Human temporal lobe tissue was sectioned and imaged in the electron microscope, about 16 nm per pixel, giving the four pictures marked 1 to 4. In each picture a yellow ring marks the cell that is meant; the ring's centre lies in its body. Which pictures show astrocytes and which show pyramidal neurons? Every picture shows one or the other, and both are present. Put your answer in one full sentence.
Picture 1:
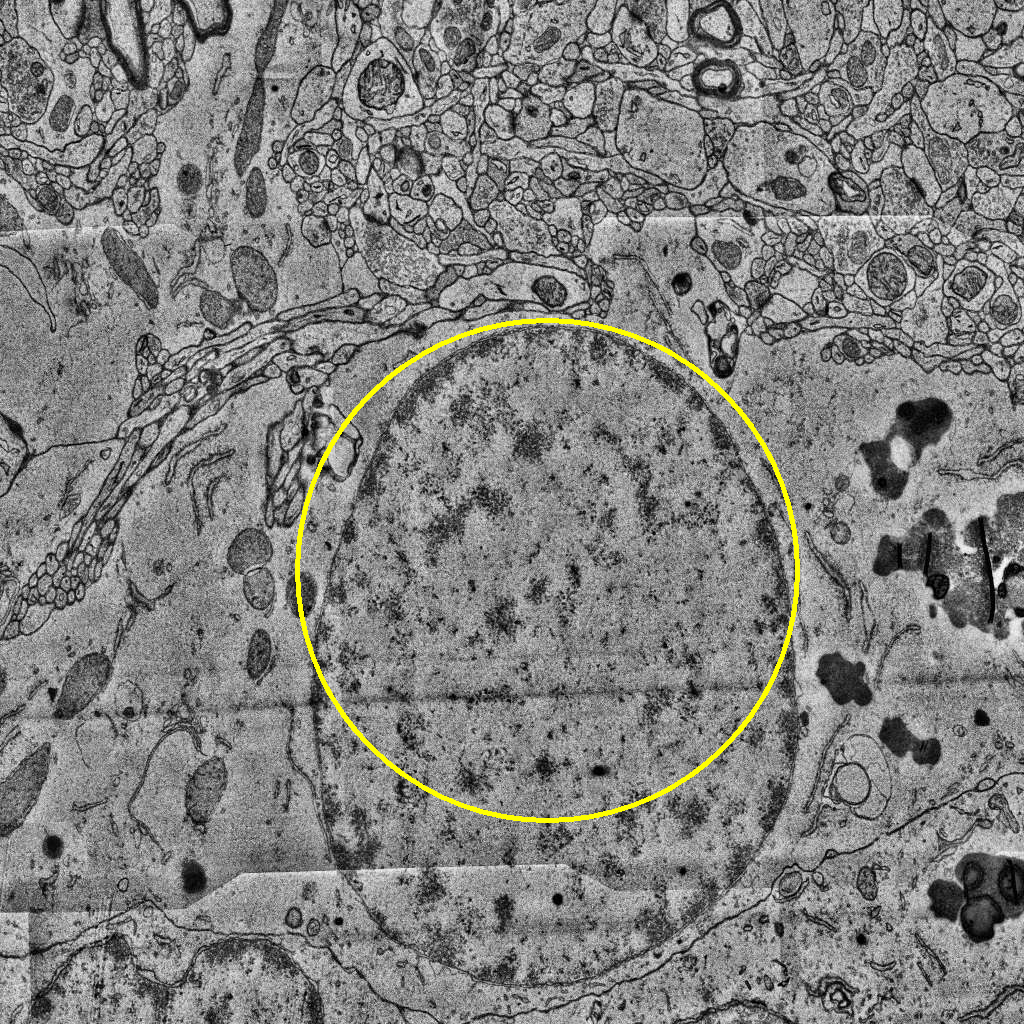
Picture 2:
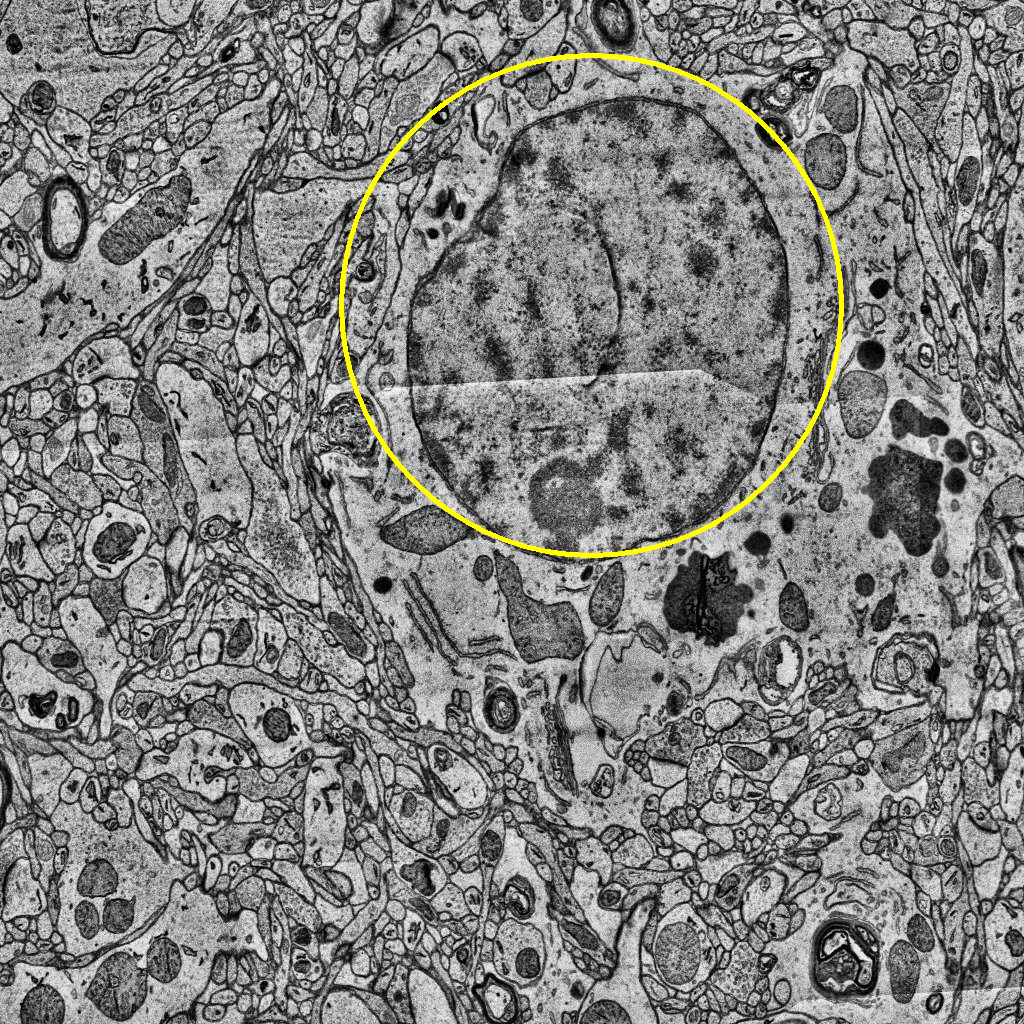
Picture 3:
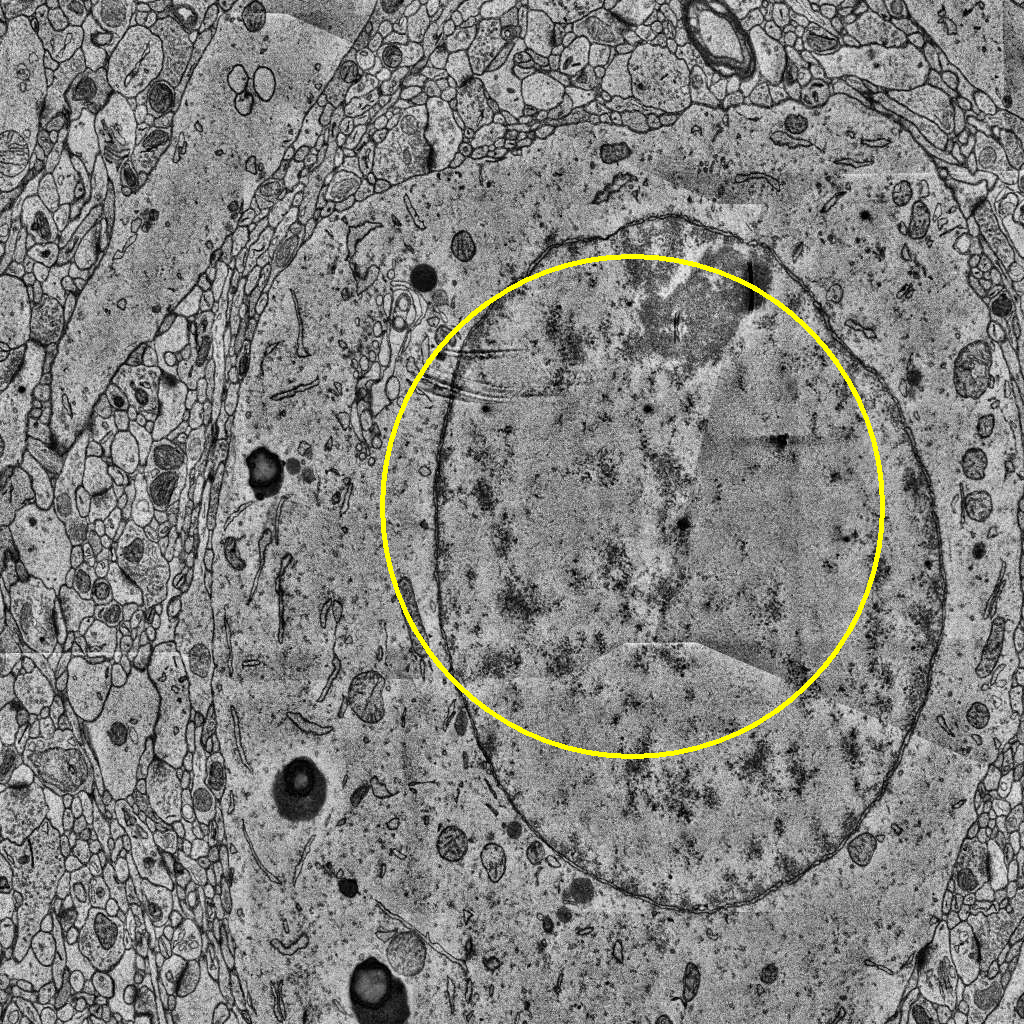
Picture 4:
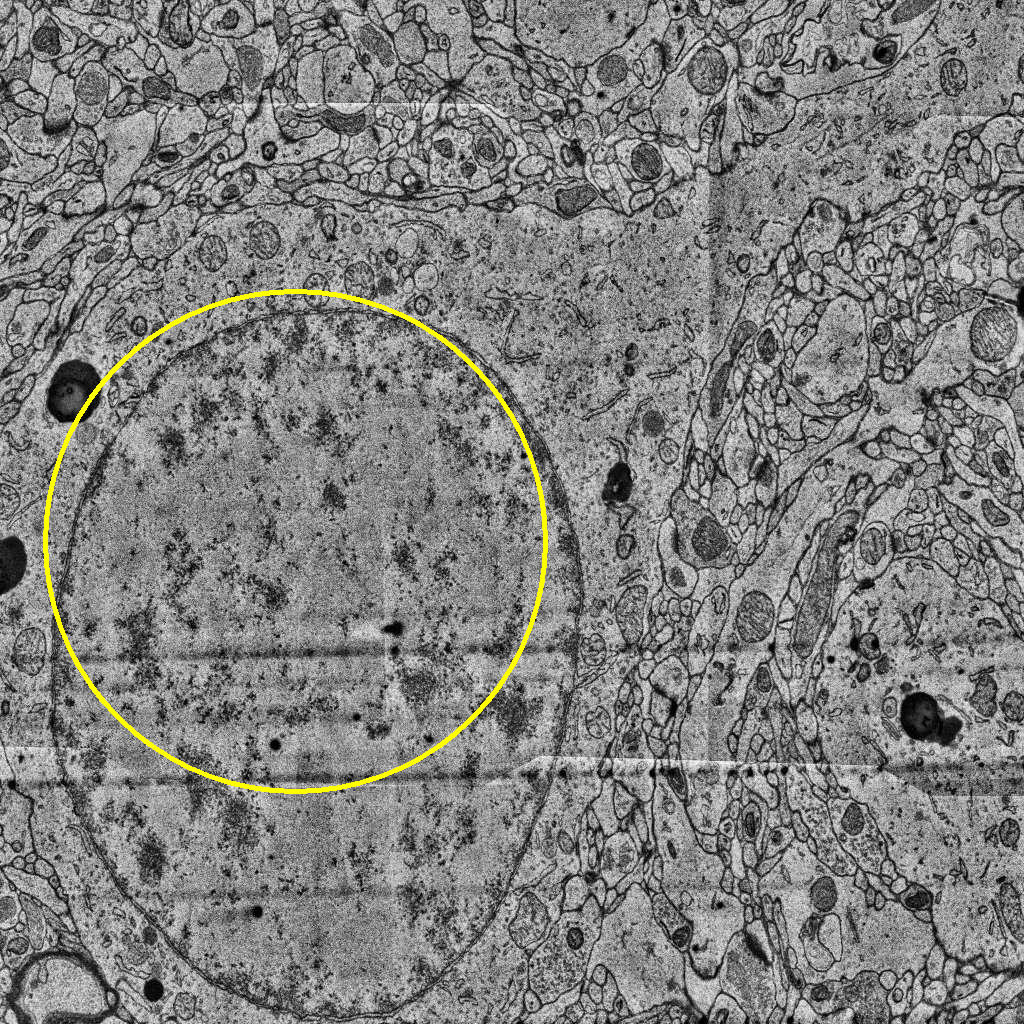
Pictures 1 and 2 show astrocytes, and pictures 3 and 4 show pyramidal neurons.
